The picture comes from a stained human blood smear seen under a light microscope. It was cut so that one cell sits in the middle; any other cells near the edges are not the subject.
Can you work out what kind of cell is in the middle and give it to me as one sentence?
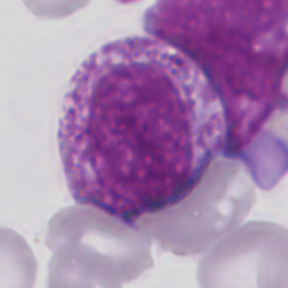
To answer, the cell in the center of the crop is a myelocyte.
